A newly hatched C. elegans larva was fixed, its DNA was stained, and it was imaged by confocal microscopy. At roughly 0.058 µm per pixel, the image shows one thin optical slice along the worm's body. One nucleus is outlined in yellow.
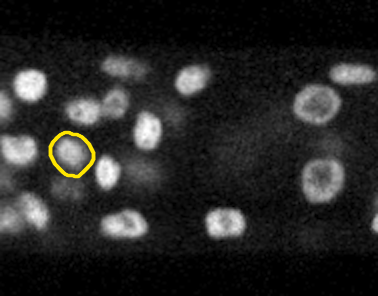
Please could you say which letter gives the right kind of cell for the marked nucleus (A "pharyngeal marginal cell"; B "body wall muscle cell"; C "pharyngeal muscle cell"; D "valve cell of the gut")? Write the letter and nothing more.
C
